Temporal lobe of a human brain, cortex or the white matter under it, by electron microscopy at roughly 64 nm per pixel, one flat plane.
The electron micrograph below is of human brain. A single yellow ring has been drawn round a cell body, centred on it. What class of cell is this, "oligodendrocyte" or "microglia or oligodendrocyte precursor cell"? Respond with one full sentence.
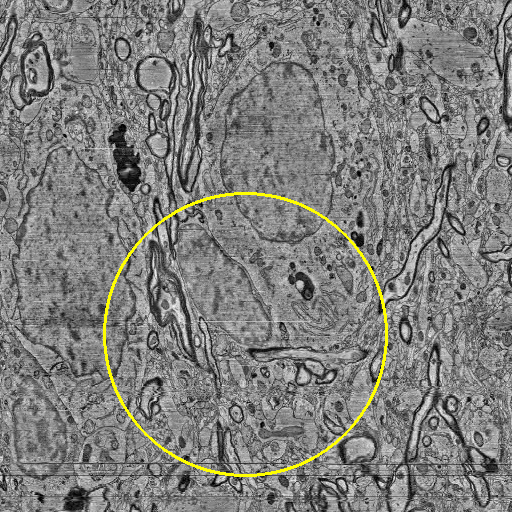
In the micrograph, the cell centred inside the yellow ring is an oligodendrocyte.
